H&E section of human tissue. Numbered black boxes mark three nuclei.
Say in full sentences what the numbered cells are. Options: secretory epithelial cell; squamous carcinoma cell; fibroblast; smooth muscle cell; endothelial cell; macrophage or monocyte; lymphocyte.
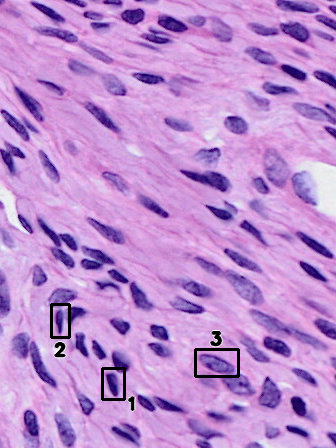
Cells 1 and 2 are fibroblasts. Cell 3 is an endothelial cell.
